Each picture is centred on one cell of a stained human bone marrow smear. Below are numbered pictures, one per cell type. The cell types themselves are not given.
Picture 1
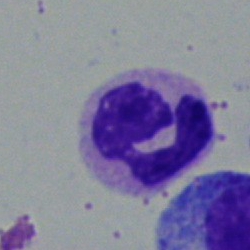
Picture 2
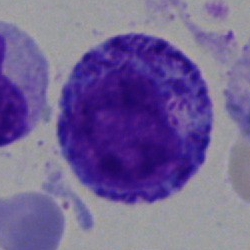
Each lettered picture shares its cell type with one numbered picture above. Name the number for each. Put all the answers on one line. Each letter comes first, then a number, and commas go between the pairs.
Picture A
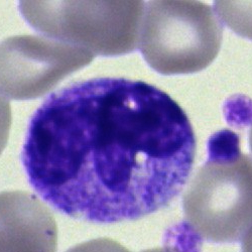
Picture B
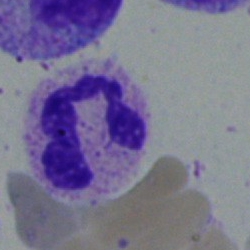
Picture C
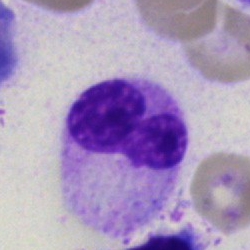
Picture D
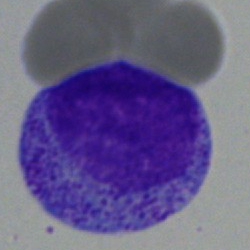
A 1, B 1, C 1, D 2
